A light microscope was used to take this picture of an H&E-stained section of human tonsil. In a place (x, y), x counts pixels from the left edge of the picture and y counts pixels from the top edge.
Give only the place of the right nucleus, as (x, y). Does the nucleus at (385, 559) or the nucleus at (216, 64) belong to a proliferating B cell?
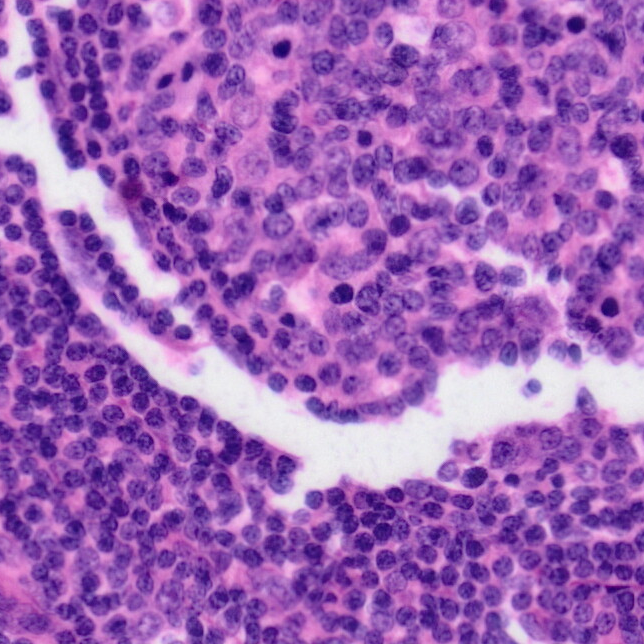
(216, 64)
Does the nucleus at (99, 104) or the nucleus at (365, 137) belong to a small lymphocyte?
(99, 104)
